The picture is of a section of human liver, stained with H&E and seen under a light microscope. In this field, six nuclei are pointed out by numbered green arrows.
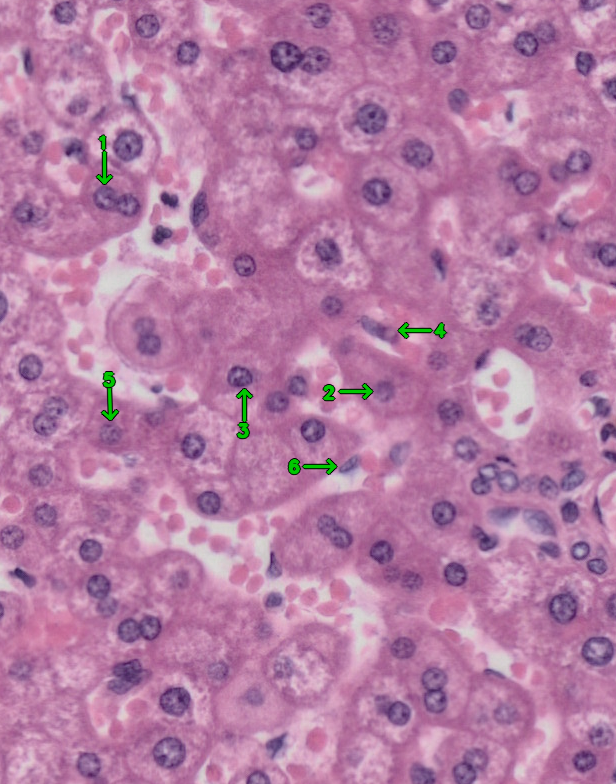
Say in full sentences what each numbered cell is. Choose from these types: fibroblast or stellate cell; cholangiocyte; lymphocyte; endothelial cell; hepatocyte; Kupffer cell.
Cell 1 is a hepatocyte, cell 2 is a hepatocyte, cell 3 is a hepatocyte, cell 4 is a Kupffer cell, cell 5 is a hepatocyte and cell 6 is an endothelial cell.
